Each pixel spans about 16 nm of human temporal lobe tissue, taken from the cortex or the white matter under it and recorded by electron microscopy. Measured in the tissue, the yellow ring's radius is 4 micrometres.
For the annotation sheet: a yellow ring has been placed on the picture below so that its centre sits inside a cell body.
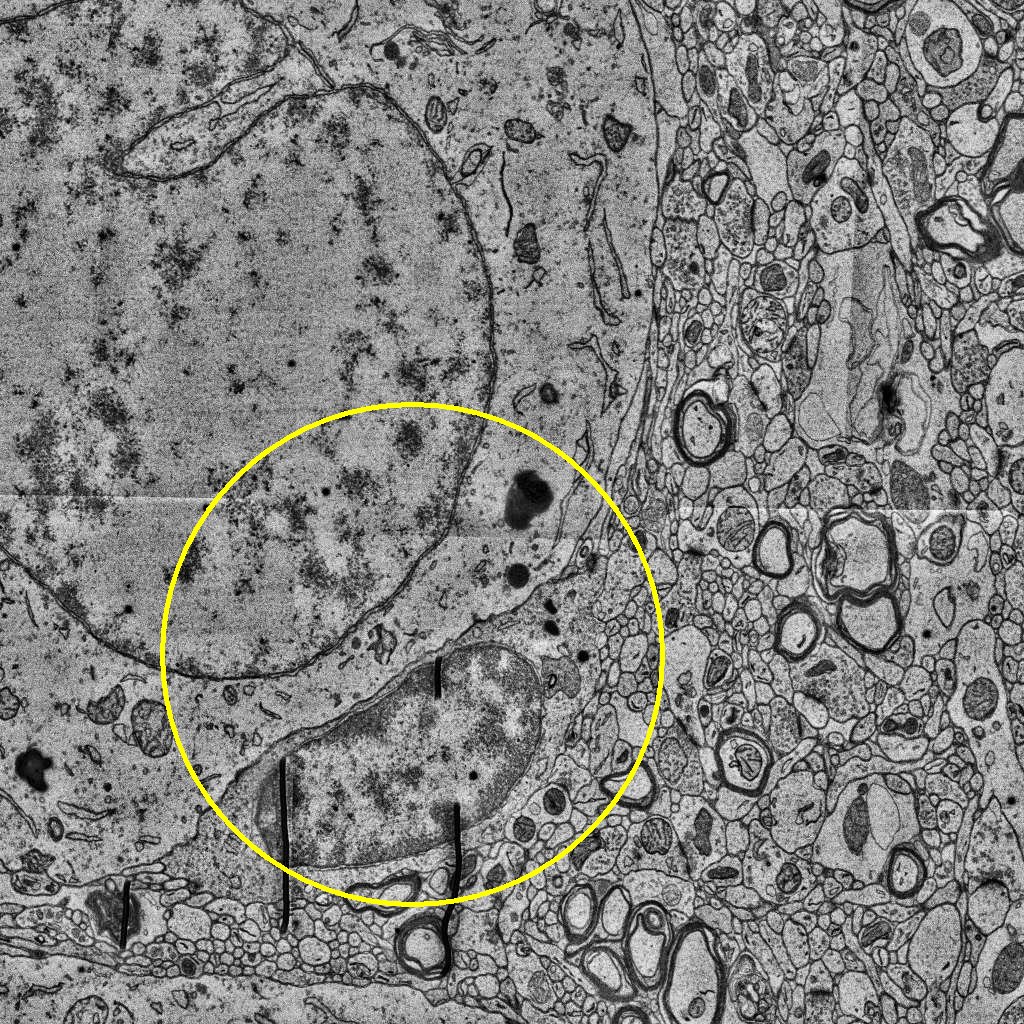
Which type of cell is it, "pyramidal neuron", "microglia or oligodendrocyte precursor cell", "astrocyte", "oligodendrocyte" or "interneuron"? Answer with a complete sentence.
The cell at the ring's centre is an oligodendrocyte.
